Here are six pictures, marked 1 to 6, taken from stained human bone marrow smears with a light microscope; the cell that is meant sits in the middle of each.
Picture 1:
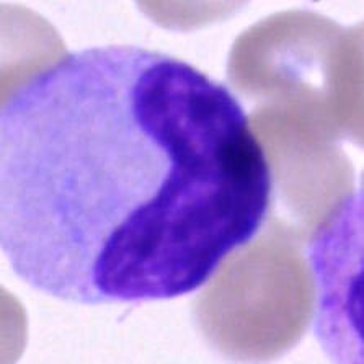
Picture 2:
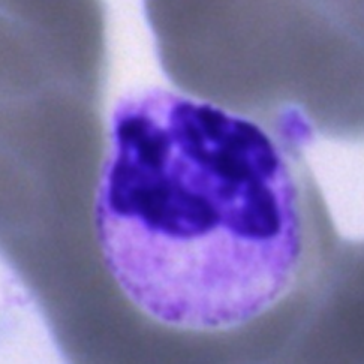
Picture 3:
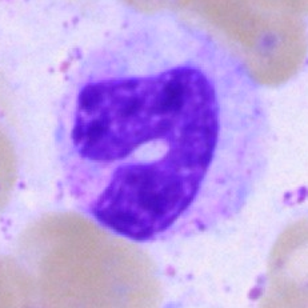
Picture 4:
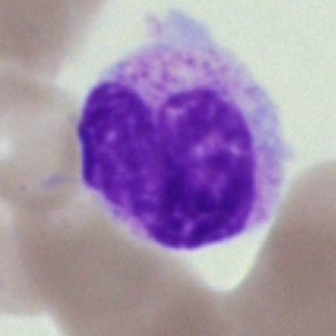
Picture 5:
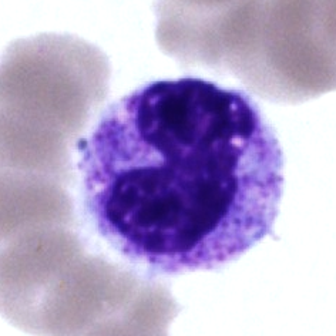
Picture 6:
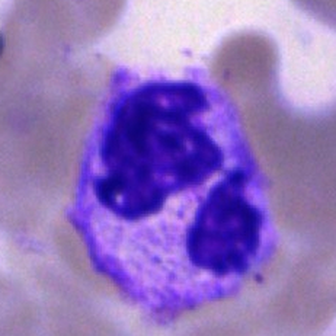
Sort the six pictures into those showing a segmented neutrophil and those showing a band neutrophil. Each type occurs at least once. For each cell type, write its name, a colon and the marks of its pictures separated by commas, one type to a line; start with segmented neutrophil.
segmented neutrophil: 2, 6
band neutrophil: 1, 3, 4, 5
